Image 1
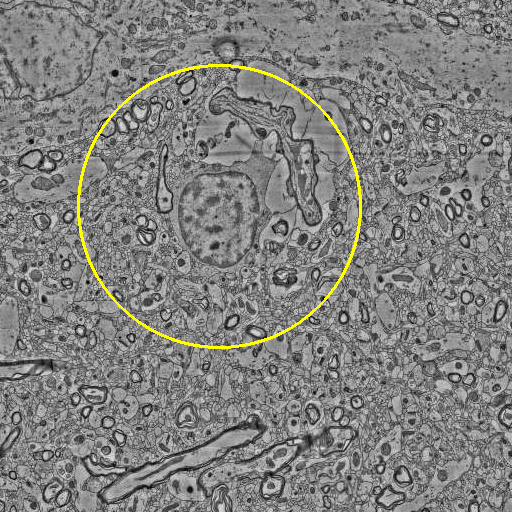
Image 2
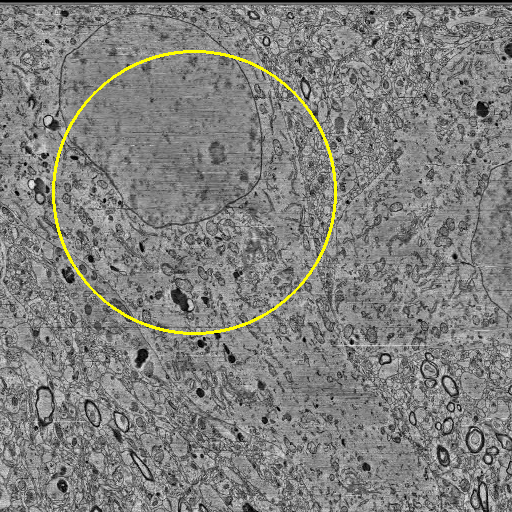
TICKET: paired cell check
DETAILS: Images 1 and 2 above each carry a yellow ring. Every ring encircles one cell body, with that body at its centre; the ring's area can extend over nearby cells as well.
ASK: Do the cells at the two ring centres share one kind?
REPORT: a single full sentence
No, the ring-centre cells of Images 1 and 2 belong to two kinds.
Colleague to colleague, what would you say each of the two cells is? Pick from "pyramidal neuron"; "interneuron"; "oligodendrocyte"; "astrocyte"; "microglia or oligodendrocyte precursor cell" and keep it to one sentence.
The cell in the first picture is an oligodendrocyte; the second picture's cell is a pyramidal neuron.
